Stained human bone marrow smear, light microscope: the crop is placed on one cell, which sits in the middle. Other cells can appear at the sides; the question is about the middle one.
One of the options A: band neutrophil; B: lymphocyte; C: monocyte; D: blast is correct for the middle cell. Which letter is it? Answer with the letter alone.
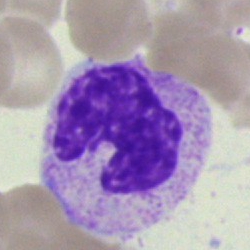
A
